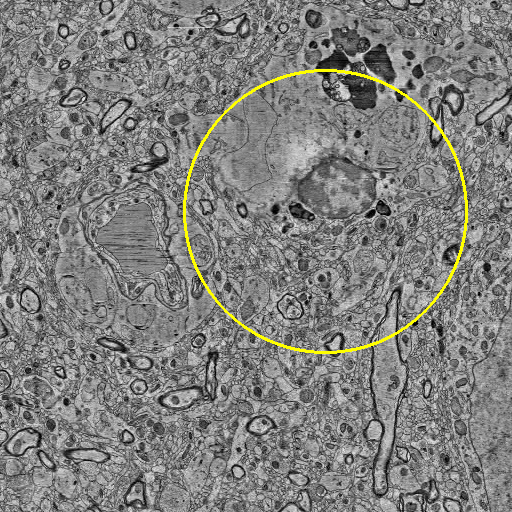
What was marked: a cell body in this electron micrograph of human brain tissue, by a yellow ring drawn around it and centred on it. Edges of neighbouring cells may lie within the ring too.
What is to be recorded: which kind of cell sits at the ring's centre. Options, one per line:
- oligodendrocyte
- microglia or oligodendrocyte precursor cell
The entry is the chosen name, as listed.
microglia or oligodendrocyte precursor cell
